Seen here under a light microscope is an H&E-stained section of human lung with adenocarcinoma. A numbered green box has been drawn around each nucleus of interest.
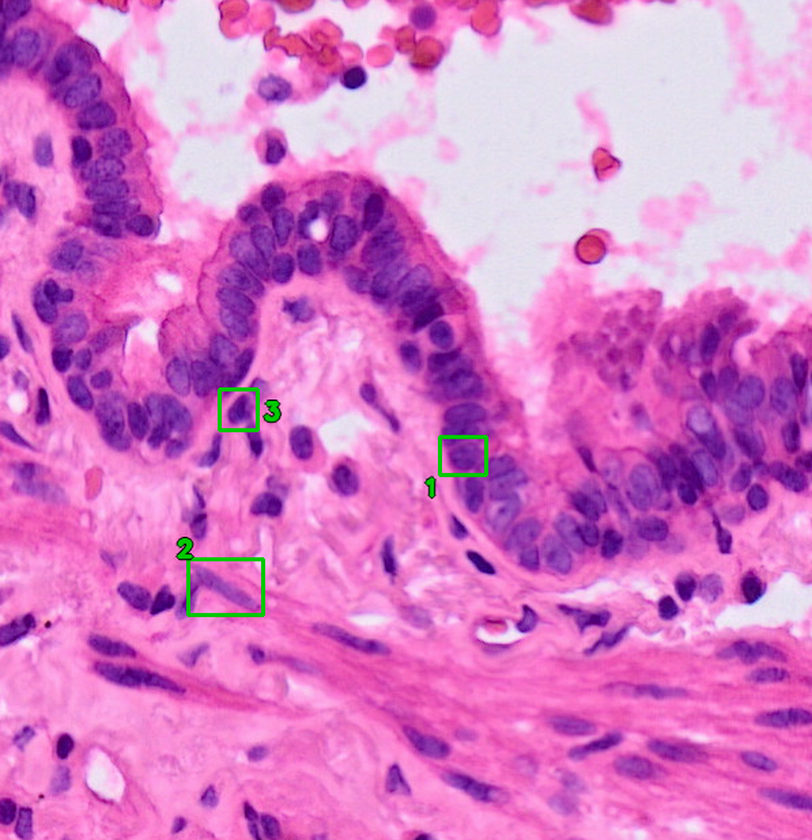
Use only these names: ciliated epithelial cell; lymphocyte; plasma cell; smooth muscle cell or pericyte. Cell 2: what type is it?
smooth muscle cell or pericyte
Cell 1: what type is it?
ciliated epithelial cell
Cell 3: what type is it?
lymphocyte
